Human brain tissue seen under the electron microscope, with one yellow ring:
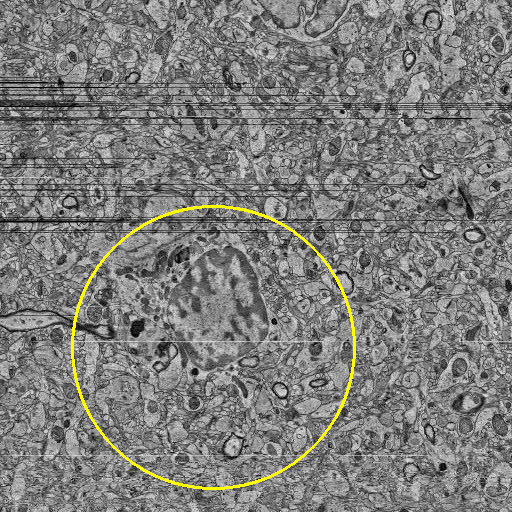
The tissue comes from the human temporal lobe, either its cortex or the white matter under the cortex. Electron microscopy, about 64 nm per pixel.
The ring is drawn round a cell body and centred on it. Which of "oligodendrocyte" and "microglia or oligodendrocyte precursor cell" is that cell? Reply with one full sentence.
The picture shows a microglial cell or oligodendrocyte precursor cell at the very centre of the yellow ring.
